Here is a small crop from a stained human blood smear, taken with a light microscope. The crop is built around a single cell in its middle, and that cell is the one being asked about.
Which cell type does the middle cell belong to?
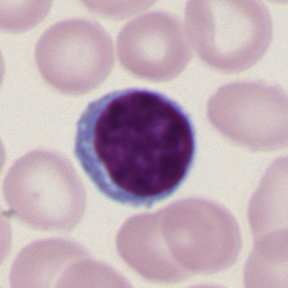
typical lymphocyte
